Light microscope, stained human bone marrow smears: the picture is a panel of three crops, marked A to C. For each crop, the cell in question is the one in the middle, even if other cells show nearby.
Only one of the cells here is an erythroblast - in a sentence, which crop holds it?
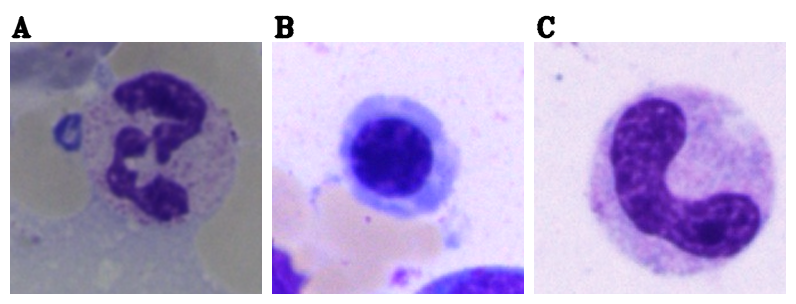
In this set, crop B is the one showing an erythroblast.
